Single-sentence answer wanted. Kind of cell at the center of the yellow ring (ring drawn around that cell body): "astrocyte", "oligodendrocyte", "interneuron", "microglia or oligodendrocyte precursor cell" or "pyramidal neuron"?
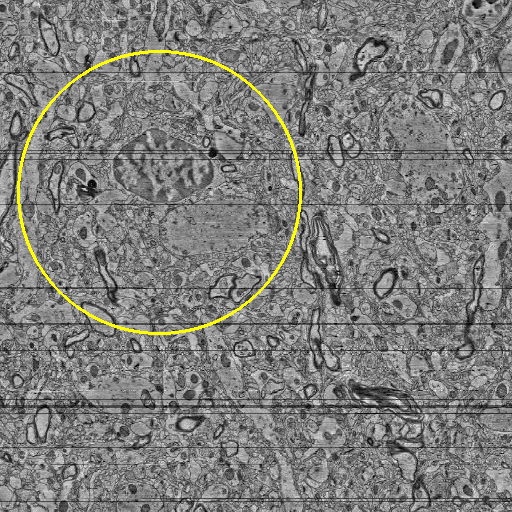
The cell centered in the ring is a microglial cell or oligodendrocyte precursor cell.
